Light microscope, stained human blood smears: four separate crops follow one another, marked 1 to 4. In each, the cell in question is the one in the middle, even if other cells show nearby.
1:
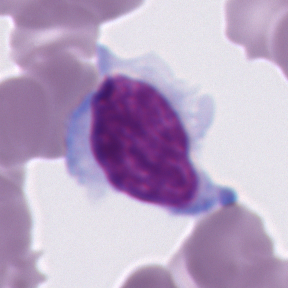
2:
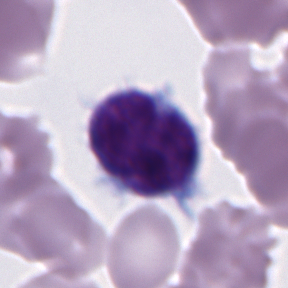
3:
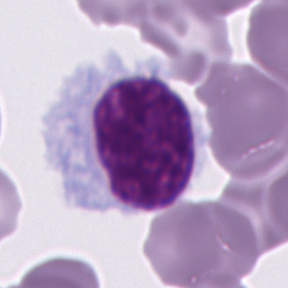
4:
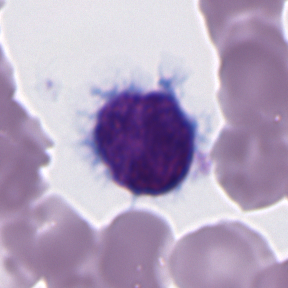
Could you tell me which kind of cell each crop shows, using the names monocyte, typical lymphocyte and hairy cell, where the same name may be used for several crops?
1: hairy cell
2: hairy cell
3: hairy cell
4: hairy cell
